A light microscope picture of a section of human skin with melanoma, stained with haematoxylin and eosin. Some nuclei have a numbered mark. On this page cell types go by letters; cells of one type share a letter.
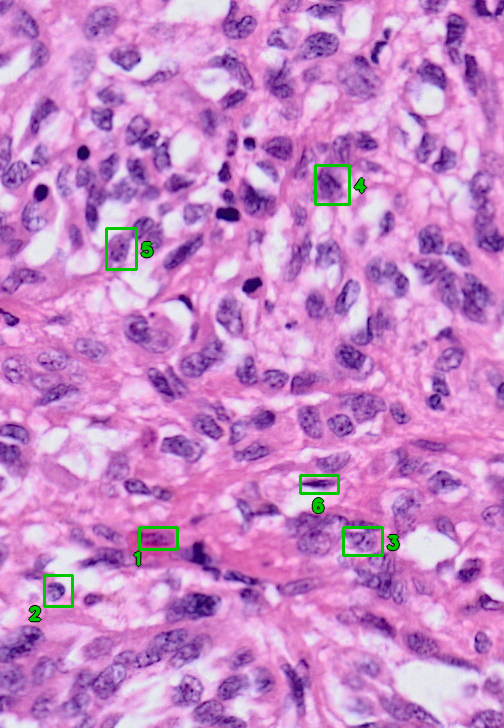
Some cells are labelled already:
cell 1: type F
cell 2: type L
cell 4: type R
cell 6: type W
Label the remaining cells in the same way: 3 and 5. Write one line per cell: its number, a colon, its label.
3: type R
5: type R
